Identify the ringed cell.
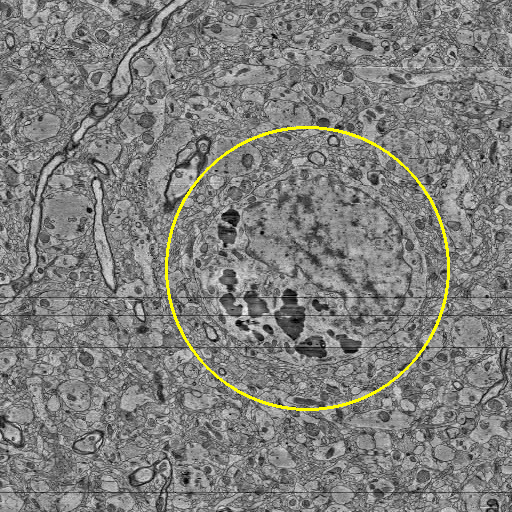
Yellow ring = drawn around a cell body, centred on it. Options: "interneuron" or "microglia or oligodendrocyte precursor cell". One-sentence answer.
What the ring is centred on is an interneuron.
